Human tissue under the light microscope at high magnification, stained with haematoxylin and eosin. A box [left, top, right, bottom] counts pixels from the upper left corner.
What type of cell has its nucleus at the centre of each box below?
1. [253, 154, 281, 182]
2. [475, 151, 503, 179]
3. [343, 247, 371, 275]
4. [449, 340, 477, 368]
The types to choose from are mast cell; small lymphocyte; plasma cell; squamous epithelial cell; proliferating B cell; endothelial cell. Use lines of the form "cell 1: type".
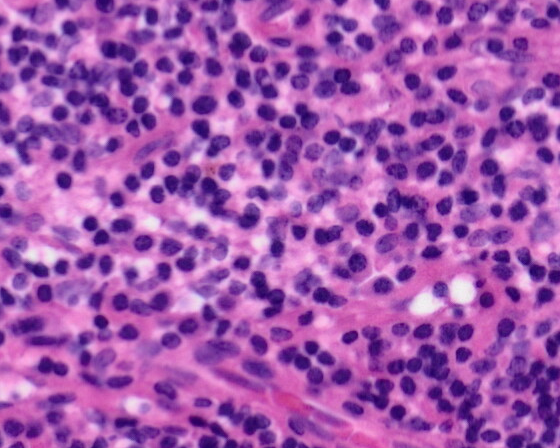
cell 1: small lymphocyte
cell 2: plasma cell
cell 3: plasma cell
cell 4: small lymphocyte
